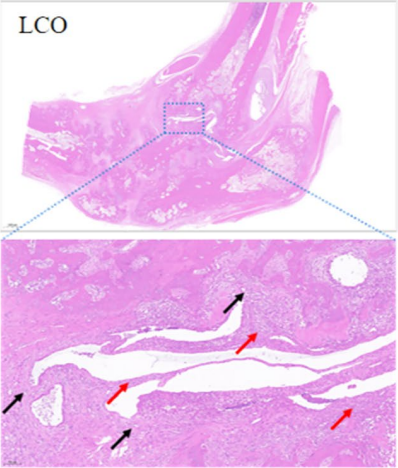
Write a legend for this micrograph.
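An H&E-stained section of an ankle joint, shown as a low-power overview with an enlarged field, in which an irregular, branching joint space runs through pink tissue. Clusters of densely packed purple-staining inflammatory cells lie beside the cleft, and pannus occupies the joint margins.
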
